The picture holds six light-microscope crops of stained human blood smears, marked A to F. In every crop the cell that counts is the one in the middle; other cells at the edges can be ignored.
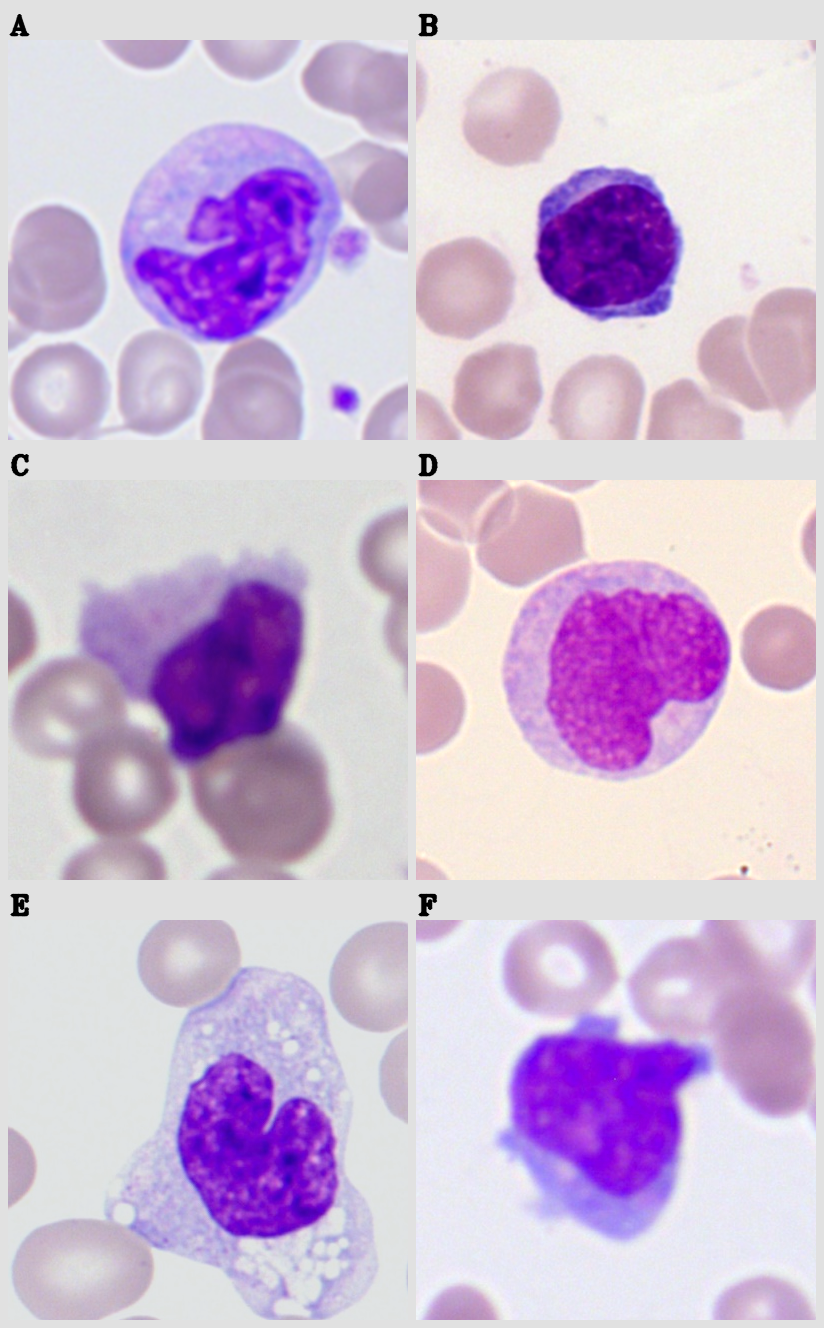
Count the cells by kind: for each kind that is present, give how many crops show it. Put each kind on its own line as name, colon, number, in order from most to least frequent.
monocyte: 5
lymphocyte: 1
